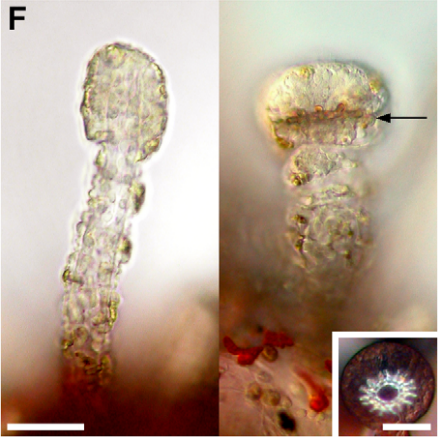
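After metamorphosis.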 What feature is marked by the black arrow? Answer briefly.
Circular spicule.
